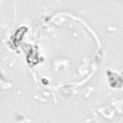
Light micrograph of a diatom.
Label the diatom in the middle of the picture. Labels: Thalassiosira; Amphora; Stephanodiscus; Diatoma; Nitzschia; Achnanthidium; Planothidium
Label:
Thalassiosira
